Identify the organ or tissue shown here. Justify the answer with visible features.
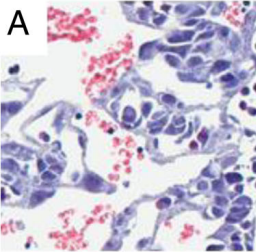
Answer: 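A meshwork of thin branching cellular strands with purple nuclei. Irregular spaces between the strands are filled with small red blood cells.
Labyrinth.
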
